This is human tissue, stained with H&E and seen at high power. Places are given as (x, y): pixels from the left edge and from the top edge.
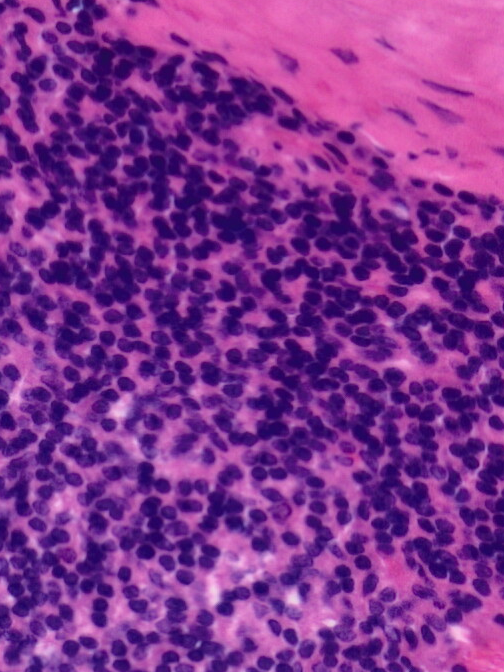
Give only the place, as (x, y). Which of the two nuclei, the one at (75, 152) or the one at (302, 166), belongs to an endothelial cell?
(302, 166)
